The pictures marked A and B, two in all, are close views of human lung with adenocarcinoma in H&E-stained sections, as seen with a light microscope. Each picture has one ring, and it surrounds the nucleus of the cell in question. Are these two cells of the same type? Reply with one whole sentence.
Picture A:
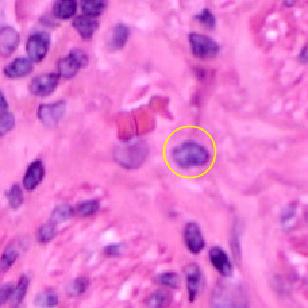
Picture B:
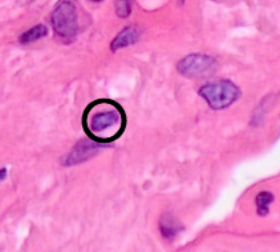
Yes, both are mast cells.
